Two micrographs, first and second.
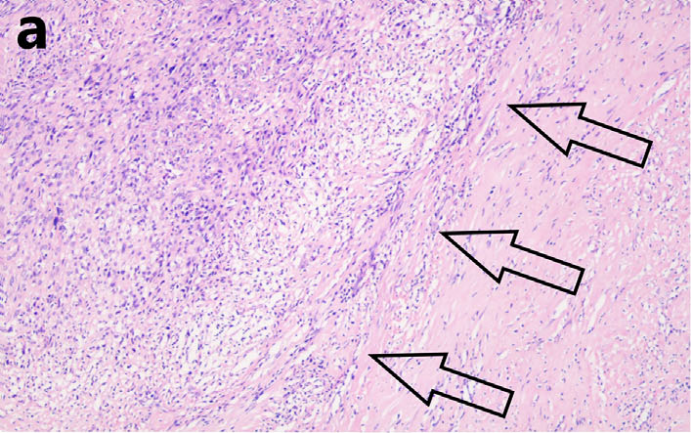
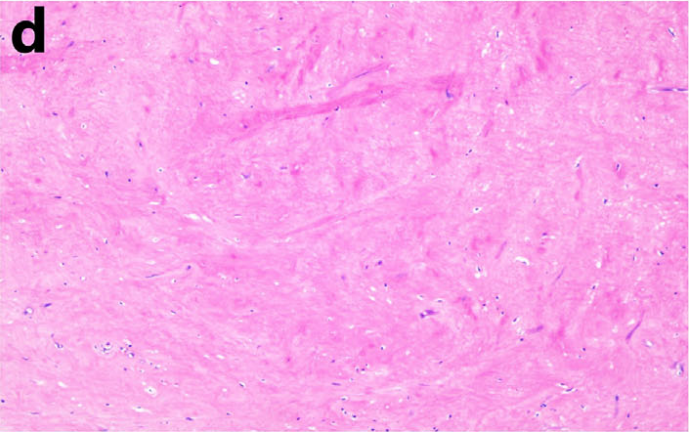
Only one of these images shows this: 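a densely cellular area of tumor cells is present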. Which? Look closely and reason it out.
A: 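The first image. Second image: uniform pale pink glassy tissue with very few nuclei. First image: a crowded purple cellular region on the left bordering pale pink tissue on the right.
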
